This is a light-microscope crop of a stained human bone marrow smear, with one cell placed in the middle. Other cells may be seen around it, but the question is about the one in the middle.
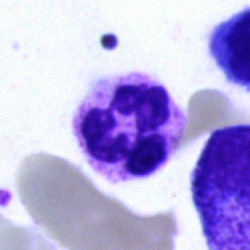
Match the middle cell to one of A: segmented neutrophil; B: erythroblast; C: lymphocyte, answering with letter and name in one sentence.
The cell in the middle is correctly identified as a segmented neutrophil in option A.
